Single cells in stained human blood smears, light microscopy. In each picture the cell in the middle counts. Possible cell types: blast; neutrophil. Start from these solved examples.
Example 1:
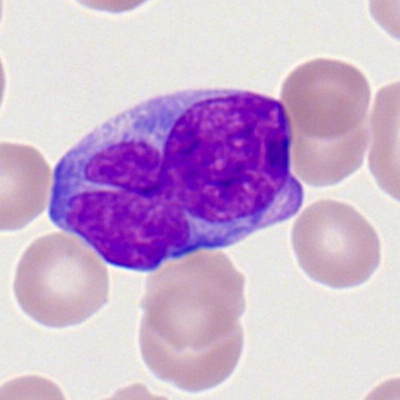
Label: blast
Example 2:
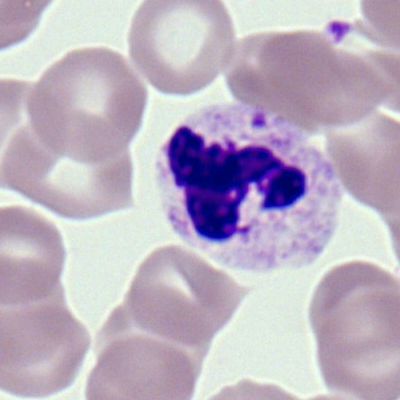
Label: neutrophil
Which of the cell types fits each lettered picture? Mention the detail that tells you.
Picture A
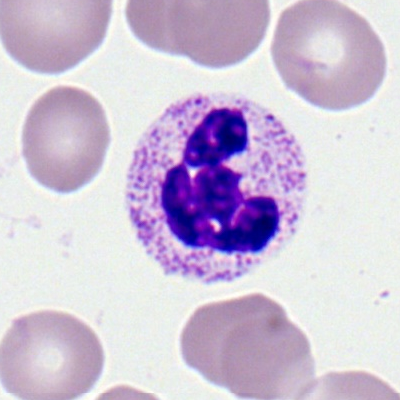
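neutrophil. Reason: The nucleus is divided into several lobes joined together.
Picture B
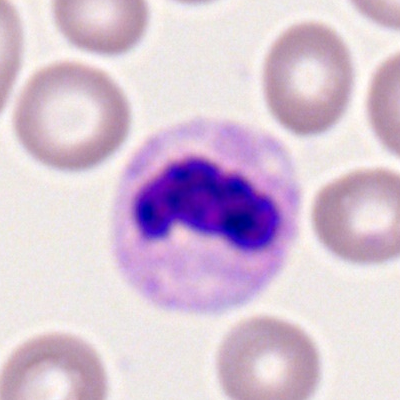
neutrophil. Reason: The cytoplasm is abundant and pale pinkish-lilac.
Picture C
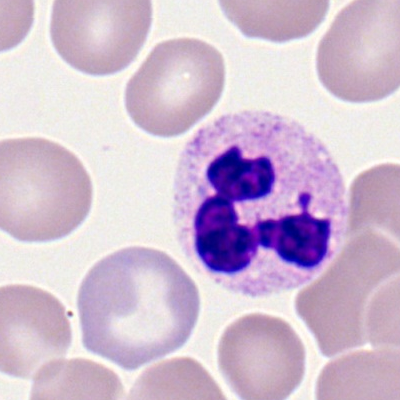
neutrophil. Reason: The cytoplasm is plentiful and pale pinkish-lilac.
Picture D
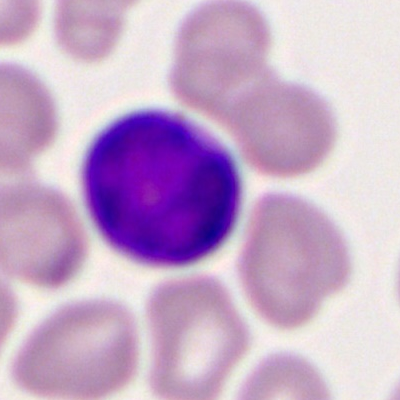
blast. Reason: Only a very thin rim of cytoplasm shows around the nucleus.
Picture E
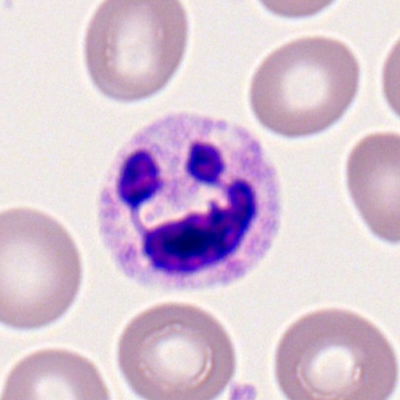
neutrophil. Reason: The cytoplasm is abundant and pale pinkish-lilac.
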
